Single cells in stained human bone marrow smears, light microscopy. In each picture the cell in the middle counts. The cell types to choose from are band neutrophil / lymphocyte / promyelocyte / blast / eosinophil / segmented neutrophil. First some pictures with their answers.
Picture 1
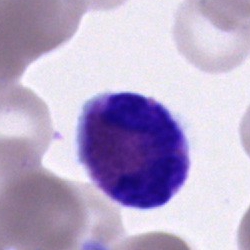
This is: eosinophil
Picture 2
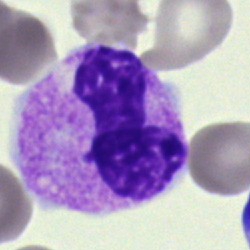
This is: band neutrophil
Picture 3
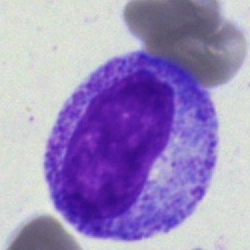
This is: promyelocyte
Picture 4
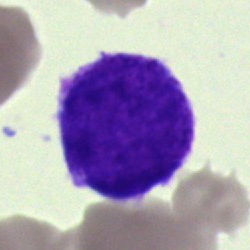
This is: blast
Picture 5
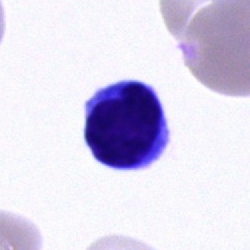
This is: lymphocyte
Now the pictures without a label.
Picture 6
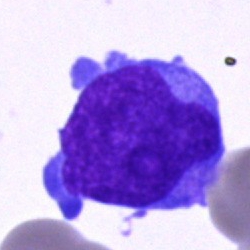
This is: blast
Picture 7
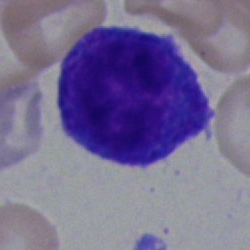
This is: promyelocyte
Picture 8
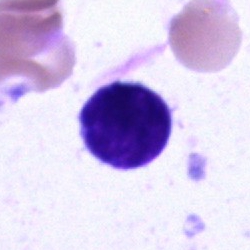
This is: lymphocyte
